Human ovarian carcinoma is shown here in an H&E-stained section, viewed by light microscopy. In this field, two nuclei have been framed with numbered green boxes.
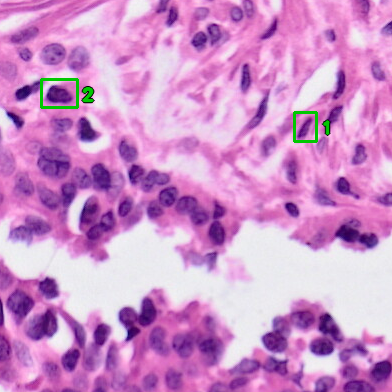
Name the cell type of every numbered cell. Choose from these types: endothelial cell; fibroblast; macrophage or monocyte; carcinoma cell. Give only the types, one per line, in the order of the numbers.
fibroblast
carcinoma cell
